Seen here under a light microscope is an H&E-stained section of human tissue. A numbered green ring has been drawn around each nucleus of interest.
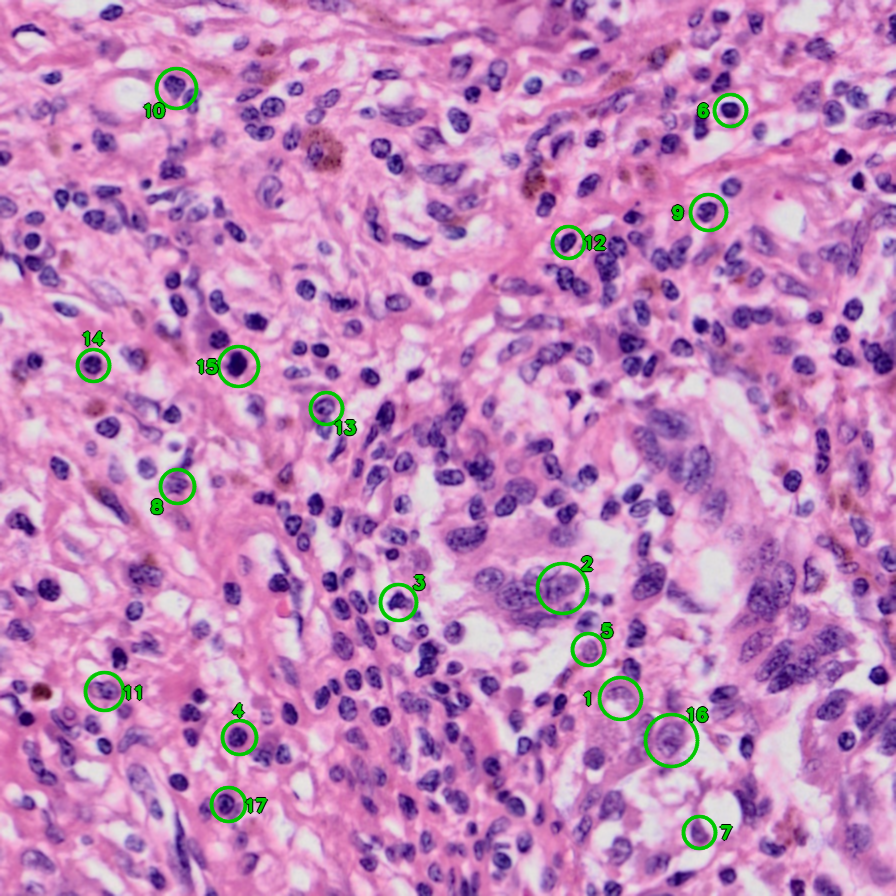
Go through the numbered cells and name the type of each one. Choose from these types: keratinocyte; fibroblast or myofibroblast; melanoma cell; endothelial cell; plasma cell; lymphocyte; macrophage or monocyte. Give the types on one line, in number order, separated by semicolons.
melanoma cell; melanoma cell; lymphocyte; plasma cell; macrophage or monocyte; lymphocyte; melanoma cell; macrophage or monocyte; lymphocyte; lymphocyte; macrophage or monocyte; lymphocyte; plasma cell; plasma cell; plasma cell; melanoma cell; plasma cell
